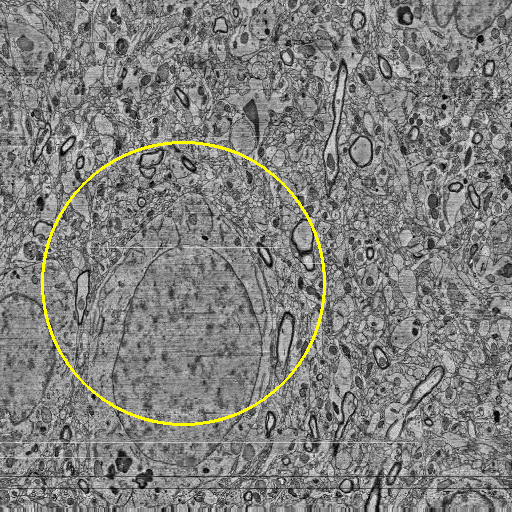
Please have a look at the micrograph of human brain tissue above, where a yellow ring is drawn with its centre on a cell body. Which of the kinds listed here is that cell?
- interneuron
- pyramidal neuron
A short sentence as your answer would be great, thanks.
At the centre of the ring sits a pyramidal neuron.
